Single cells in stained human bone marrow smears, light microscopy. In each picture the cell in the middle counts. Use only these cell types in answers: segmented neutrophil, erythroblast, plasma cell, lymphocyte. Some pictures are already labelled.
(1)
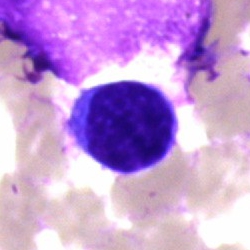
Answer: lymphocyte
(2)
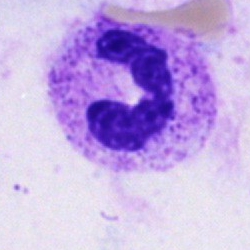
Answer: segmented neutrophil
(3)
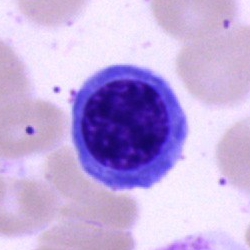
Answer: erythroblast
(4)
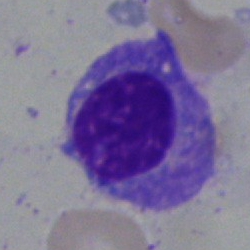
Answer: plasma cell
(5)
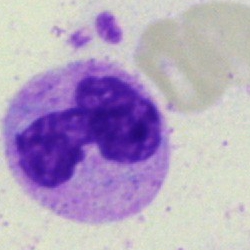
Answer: segmented neutrophil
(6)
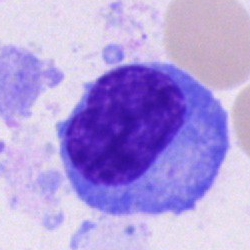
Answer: plasma cell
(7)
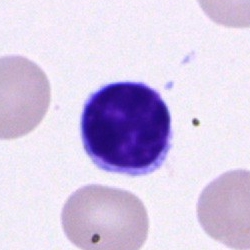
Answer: lymphocyte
